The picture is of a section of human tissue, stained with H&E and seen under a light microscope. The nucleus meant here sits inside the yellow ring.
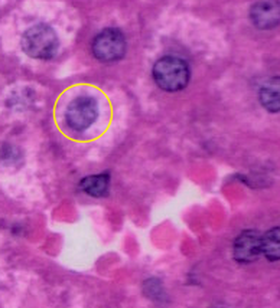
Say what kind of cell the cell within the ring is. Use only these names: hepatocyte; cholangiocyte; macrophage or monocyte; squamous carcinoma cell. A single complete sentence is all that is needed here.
Microscopically, the cell within the ring is categorized as a hepatocyte.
